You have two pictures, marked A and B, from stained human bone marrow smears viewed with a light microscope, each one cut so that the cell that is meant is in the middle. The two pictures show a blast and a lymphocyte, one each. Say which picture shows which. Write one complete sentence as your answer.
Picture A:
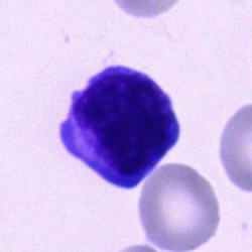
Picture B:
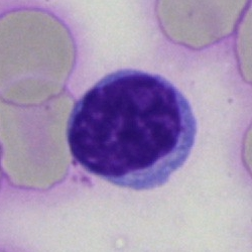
Picture B shows a lymphocyte, while picture A shows a blast.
